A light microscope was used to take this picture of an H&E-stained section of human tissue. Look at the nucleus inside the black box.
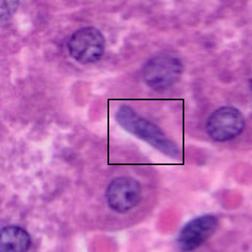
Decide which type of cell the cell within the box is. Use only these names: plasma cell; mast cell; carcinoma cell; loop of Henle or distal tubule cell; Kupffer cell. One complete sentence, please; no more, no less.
In short, the cell within the box on this section is a Kupffer cell.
